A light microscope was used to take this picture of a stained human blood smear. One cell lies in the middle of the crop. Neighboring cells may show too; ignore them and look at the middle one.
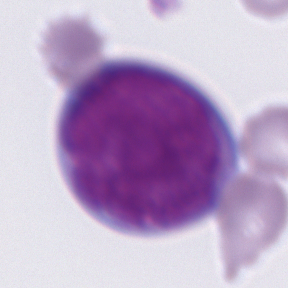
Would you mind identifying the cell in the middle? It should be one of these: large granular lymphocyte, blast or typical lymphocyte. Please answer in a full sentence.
Of the cells in this crop, the central one is a blast.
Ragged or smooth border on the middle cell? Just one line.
Happy to help: the outline is smooth and shows no projections.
